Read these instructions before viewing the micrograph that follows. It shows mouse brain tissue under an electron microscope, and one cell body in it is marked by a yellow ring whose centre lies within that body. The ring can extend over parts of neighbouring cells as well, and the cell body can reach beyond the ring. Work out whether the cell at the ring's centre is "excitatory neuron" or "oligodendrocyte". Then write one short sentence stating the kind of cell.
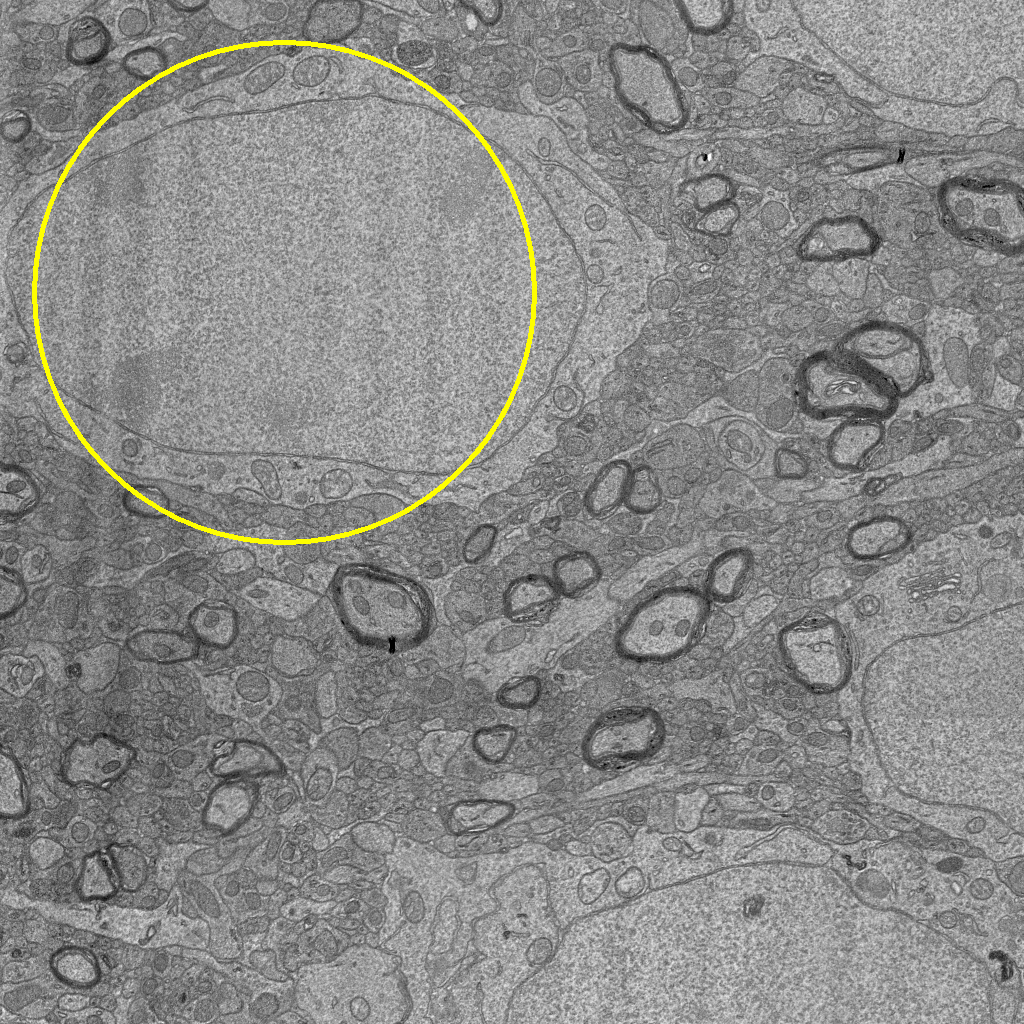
The cell at the ring's centre is an excitatory neuron.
